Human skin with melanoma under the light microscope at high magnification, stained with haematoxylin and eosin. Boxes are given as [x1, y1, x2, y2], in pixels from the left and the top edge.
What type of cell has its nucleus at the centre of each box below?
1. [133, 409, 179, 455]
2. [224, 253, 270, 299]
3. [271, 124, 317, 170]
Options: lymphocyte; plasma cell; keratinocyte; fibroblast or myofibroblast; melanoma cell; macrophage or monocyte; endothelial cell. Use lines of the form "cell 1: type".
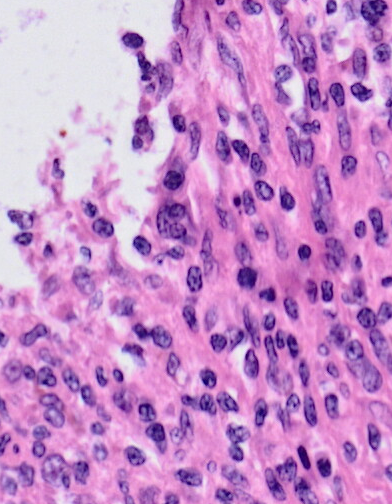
cell 1: lymphocyte
cell 2: plasma cell
cell 3: endothelial cell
